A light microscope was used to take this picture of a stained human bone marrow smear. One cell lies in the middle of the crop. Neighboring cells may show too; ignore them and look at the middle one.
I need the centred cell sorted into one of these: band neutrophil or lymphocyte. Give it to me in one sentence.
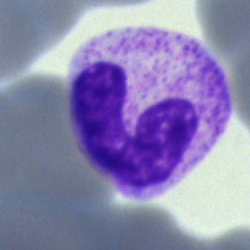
At the middle of the frame sits a band neutrophil.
